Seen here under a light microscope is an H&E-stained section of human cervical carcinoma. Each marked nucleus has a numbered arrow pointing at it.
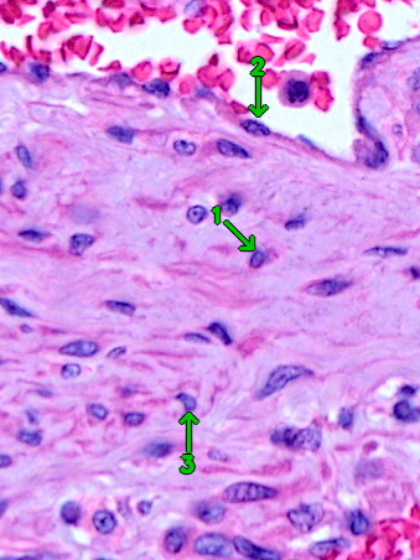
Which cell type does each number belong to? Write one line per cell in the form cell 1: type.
cell 1: smooth muscle cell
cell 2: endothelial cell
cell 3: smooth muscle cell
